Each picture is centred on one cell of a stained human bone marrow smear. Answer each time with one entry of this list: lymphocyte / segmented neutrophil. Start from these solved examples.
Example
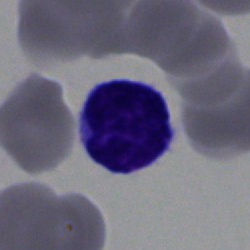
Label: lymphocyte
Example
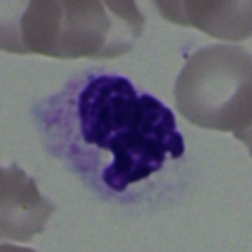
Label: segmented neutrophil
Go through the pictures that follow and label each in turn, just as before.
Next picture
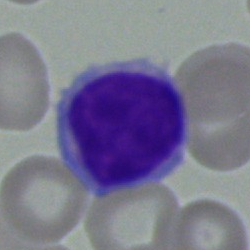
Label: lymphocyte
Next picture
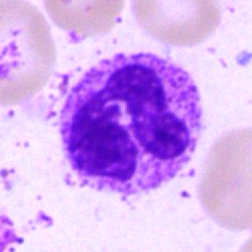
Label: segmented neutrophil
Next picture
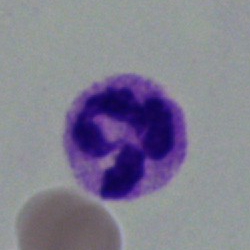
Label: segmented neutrophil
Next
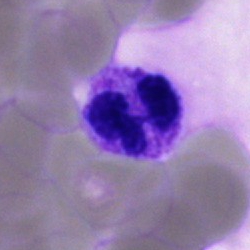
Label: segmented neutrophil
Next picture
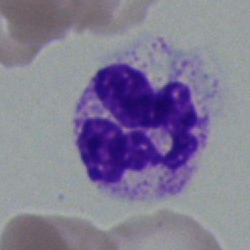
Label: segmented neutrophil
